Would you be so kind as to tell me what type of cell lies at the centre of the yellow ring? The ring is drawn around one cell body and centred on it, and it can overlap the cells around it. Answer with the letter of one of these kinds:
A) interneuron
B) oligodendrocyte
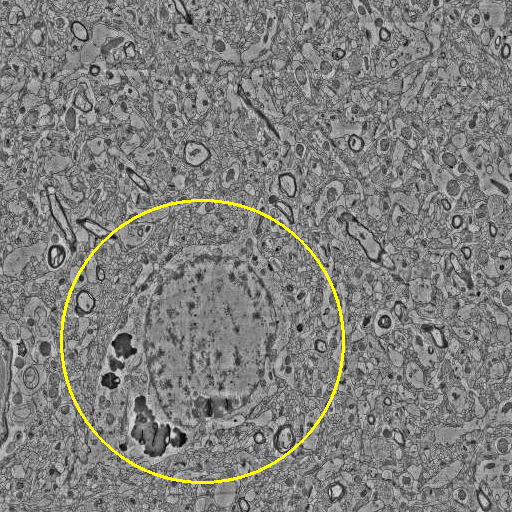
A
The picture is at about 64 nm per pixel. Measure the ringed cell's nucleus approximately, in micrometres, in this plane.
Approximately 11 micrometres long and 8 micrometres wide, in this plane.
